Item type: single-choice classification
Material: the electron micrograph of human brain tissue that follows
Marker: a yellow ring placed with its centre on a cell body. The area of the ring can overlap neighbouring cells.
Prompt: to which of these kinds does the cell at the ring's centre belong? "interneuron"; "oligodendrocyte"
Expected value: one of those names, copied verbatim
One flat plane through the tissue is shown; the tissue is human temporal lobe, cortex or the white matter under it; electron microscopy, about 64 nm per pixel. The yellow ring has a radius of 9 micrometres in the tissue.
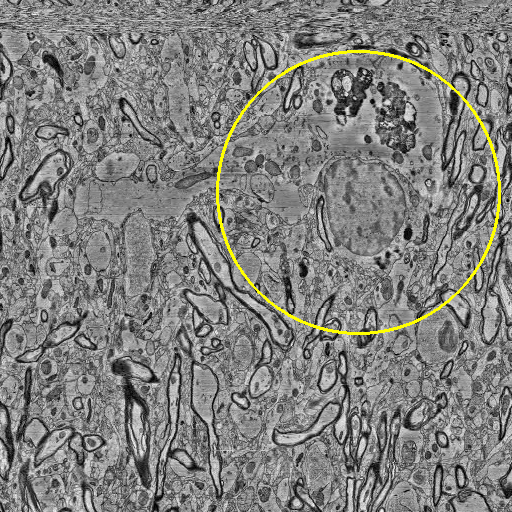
oligodendrocyte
